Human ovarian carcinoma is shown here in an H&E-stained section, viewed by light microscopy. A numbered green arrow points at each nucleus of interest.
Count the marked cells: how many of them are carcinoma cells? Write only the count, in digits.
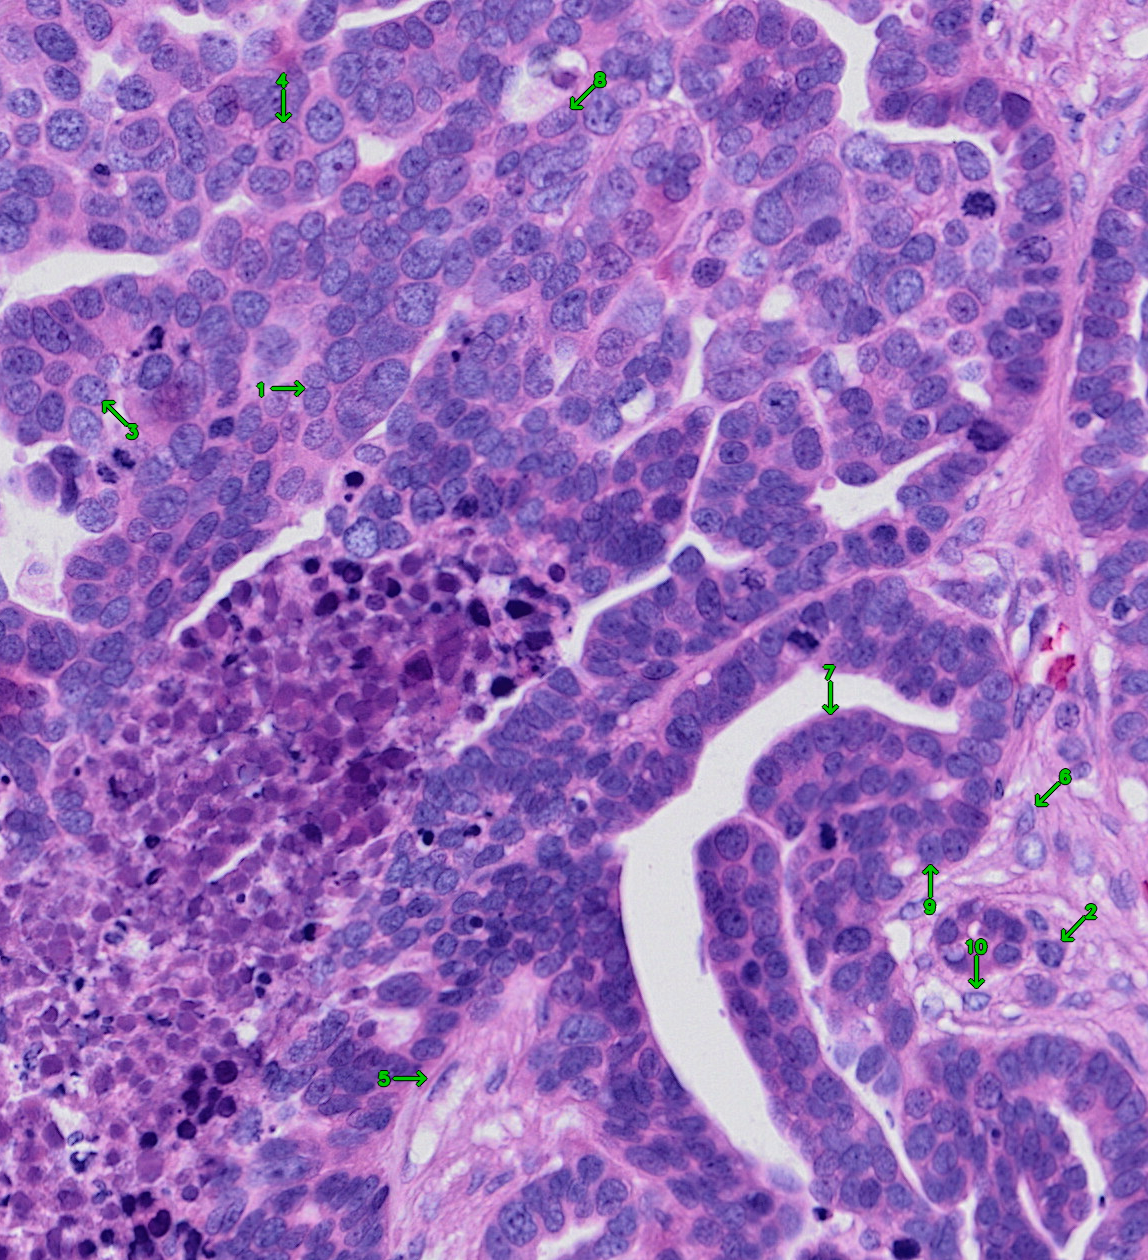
6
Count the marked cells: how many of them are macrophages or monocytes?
1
